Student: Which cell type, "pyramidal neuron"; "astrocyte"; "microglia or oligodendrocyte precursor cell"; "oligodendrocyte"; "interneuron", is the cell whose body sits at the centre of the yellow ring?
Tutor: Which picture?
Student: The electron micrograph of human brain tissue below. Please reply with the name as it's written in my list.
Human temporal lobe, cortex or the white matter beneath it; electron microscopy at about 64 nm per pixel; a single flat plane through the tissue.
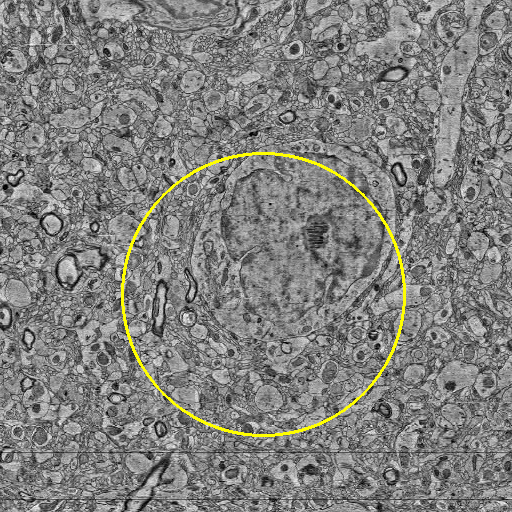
interneuron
